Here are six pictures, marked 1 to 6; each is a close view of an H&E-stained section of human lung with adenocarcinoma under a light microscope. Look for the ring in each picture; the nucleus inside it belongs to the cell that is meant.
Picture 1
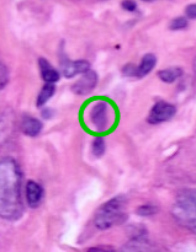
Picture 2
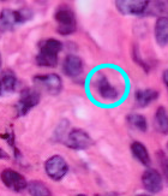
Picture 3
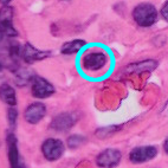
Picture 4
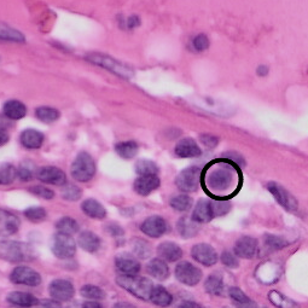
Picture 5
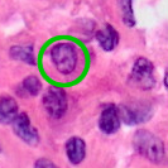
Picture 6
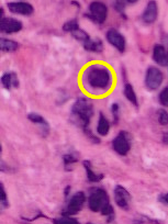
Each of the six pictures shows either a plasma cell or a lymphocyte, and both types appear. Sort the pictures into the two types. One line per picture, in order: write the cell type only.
lymphocyte
lymphocyte
lymphocyte
lymphocyte
plasma cell
plasma cell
